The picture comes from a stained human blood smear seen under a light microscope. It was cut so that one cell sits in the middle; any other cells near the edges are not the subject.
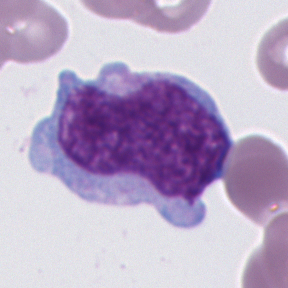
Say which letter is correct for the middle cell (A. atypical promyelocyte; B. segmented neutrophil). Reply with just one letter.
A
